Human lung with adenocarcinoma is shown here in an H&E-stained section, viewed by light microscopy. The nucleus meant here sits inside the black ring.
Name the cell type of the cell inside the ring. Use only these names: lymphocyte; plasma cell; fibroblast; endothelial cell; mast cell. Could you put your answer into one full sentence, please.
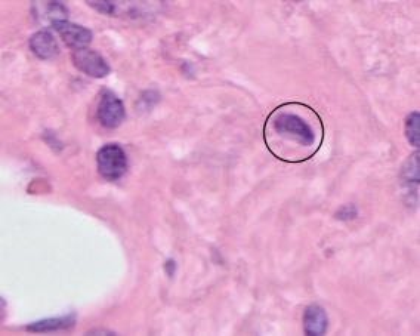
In the tissue under study, the cell inside the ring is a fibroblast.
